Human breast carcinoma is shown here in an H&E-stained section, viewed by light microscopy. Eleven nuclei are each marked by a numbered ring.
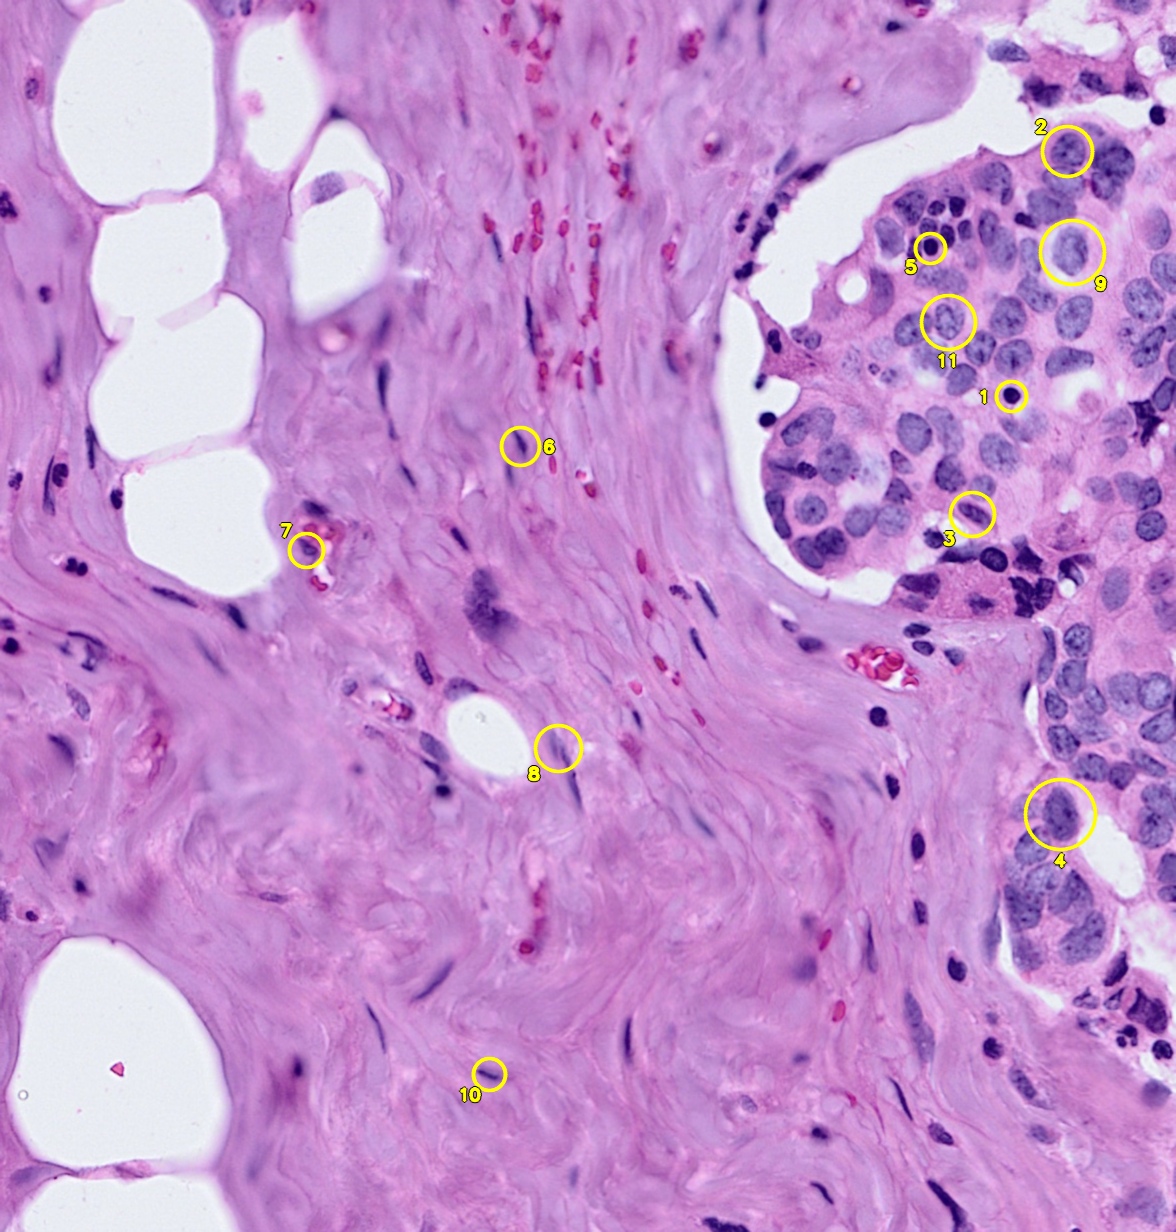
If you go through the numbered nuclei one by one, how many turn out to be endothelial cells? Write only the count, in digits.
1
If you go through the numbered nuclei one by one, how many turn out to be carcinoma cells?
5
